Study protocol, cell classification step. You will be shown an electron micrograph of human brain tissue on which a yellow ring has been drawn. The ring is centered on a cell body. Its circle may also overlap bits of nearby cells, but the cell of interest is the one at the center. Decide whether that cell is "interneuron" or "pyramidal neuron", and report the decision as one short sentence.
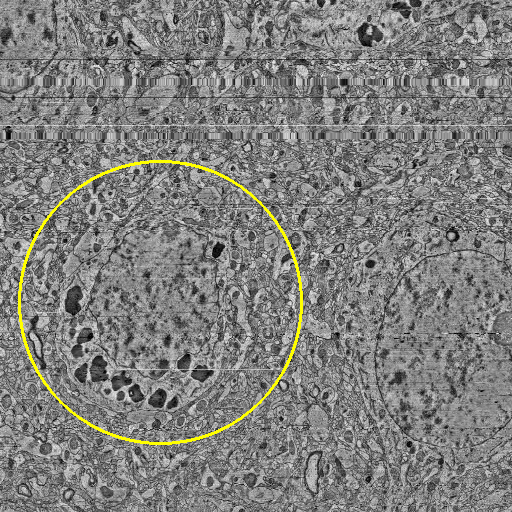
The marked cell is an interneuron.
